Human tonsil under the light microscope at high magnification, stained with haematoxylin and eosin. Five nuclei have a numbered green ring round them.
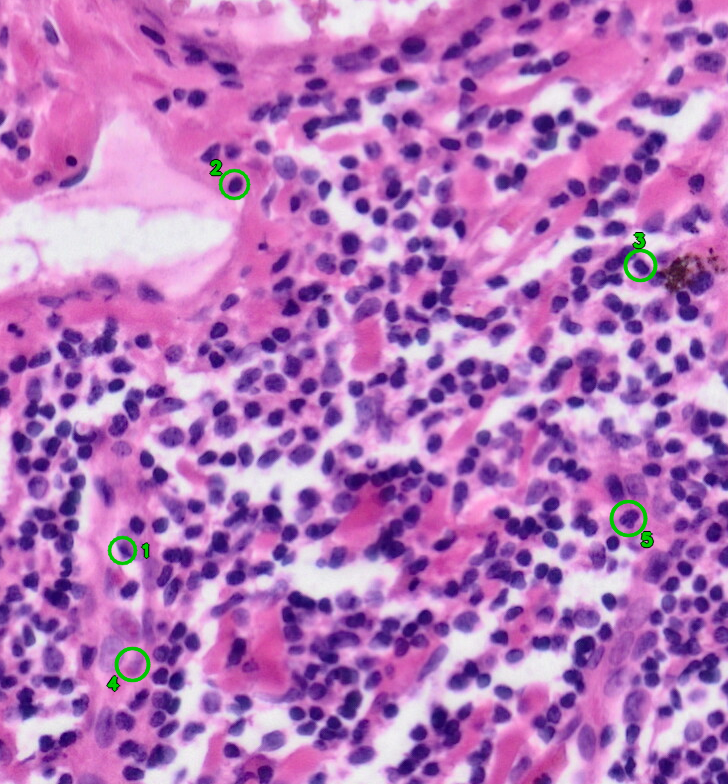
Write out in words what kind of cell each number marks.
Cells 1, 4 and 5 are endothelial cells. Cell 2 is a mast cell. Cell 3 is a small lymphocyte.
